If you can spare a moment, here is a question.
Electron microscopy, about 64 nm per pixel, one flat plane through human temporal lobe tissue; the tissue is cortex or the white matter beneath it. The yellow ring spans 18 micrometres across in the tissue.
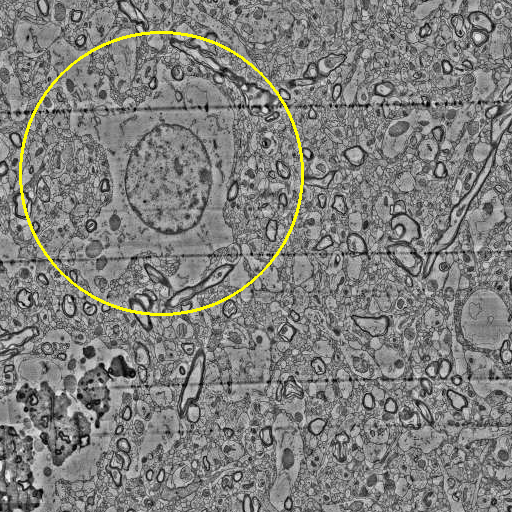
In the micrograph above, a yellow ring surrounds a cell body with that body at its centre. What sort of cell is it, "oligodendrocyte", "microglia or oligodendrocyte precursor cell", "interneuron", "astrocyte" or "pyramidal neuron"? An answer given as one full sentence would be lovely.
Centred inside the yellow ring, the cell body shown belongs to an astrocyte in this micrograph.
